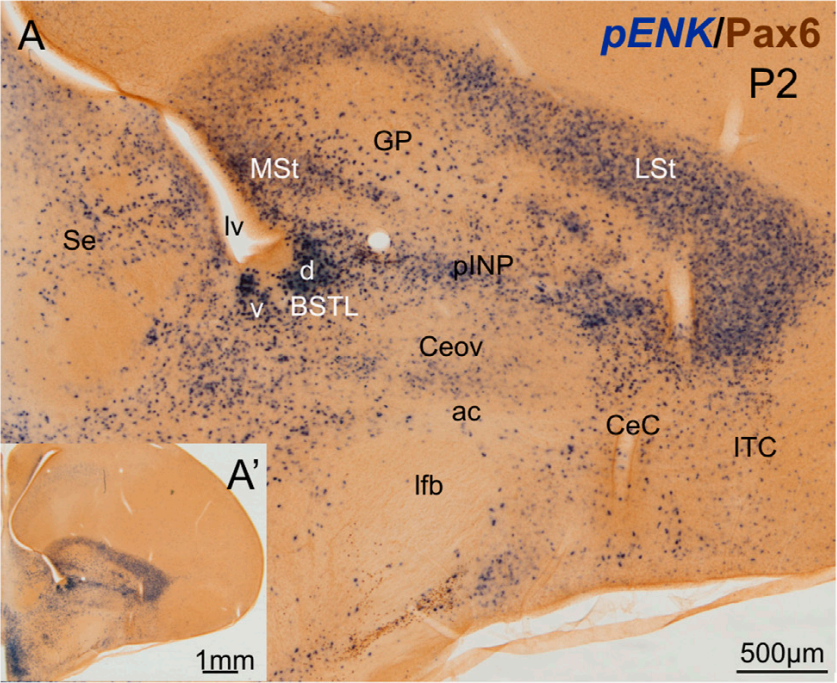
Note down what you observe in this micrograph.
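This frontal section shows the subpallium with the central extended amygdala, where dark blue cells form a broad curved band along the lateral side and two small compact clusters next to the lateral ventricle. Between them a narrow stream of blue cells runs laterally, while the pale central region and the fiber-rich zones below contain only scattered labeled cells. A few small brown nuclei lie among the blue cells, most noticeably near the lower edge.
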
